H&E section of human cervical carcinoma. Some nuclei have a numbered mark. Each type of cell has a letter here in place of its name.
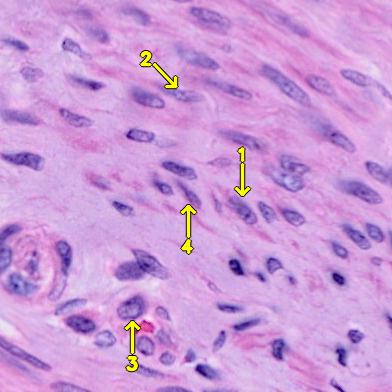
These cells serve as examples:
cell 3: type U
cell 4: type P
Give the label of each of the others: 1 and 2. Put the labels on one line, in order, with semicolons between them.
type P; type P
